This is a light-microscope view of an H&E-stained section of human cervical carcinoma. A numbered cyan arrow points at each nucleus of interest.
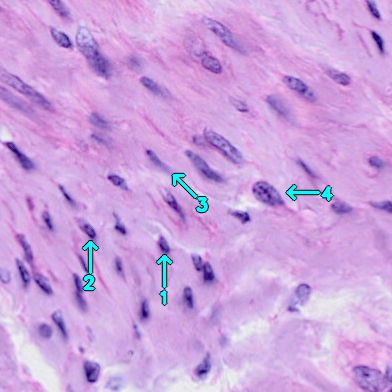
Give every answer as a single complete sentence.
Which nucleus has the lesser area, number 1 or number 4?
The smaller nucleus is 1, and 4 covers roughly 4 times its area.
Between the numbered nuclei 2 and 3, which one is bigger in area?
Number 3 is larger; its area is about 2 times that of number 2.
